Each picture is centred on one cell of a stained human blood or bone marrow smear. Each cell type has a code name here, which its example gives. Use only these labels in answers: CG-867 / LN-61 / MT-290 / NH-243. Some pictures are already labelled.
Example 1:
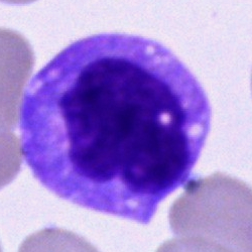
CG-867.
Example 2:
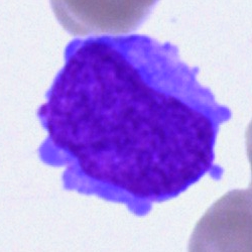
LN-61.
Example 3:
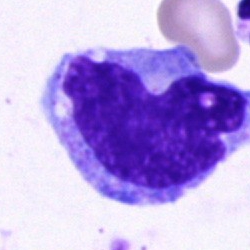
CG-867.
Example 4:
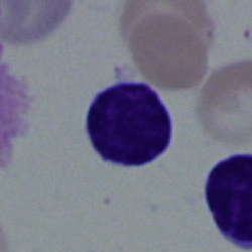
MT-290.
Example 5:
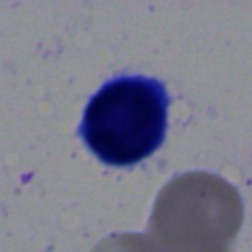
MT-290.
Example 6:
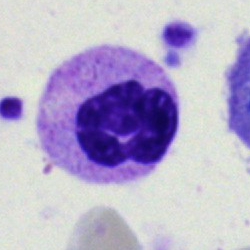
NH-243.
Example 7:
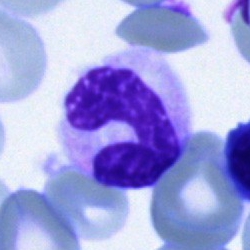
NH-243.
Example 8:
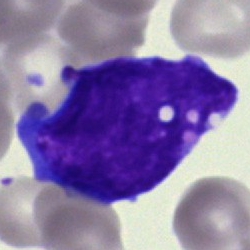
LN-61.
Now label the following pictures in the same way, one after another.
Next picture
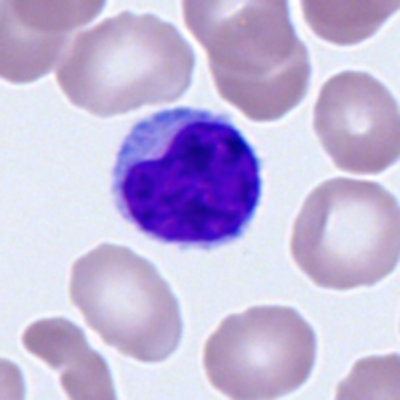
MT-290.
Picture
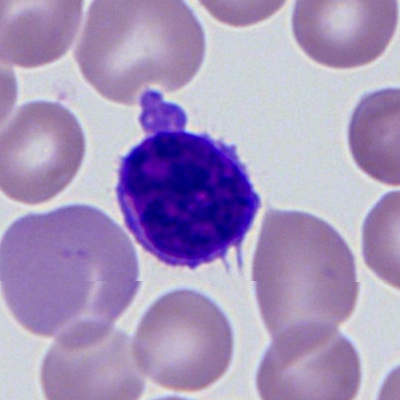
MT-290.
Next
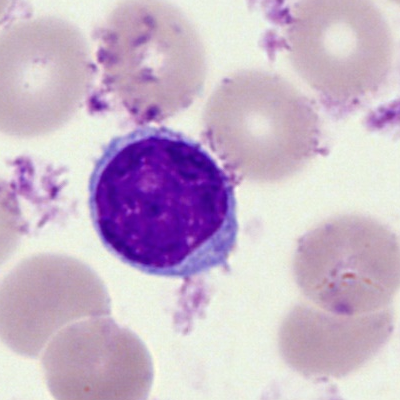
MT-290.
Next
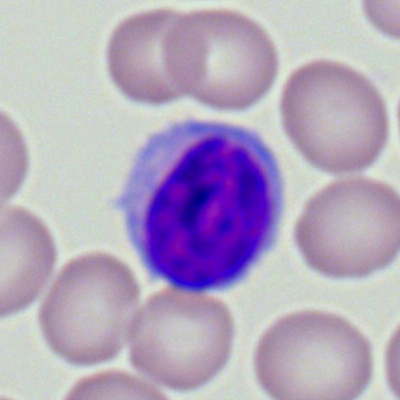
MT-290.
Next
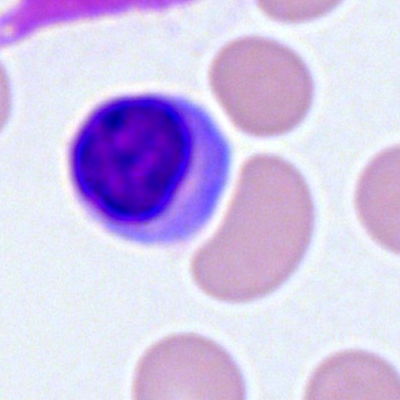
MT-290.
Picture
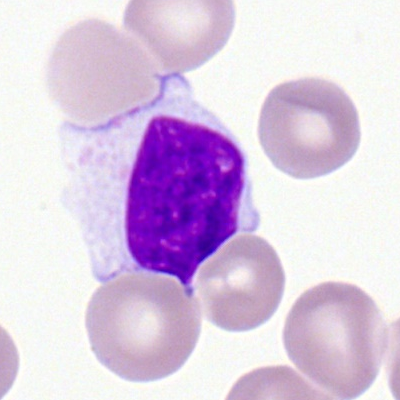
MT-290.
